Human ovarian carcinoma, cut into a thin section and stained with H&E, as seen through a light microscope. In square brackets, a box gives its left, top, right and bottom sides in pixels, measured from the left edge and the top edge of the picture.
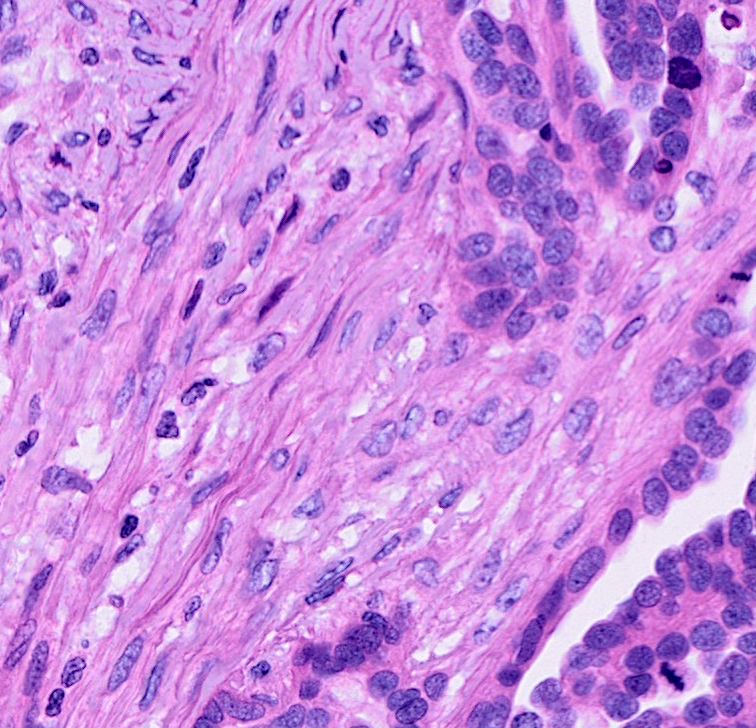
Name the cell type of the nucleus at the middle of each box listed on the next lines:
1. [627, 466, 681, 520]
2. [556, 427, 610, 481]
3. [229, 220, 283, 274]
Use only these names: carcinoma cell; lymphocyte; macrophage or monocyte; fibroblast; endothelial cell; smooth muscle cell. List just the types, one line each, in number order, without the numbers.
carcinoma cell
fibroblast
fibroblast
